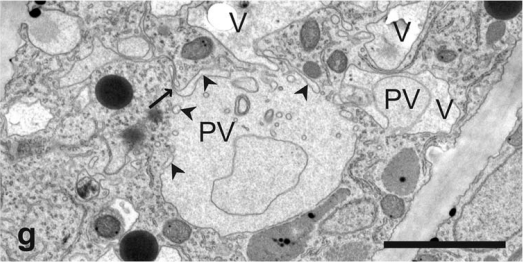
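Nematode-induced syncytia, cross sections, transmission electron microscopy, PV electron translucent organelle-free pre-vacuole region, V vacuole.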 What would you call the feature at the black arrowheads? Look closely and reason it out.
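The arrowheads sit at the edge of a large pale region free of organelles. Thin membrane profiles run along that edge next to the granular cytoplasm.
Conclusion: tubules and flattened cisternae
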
